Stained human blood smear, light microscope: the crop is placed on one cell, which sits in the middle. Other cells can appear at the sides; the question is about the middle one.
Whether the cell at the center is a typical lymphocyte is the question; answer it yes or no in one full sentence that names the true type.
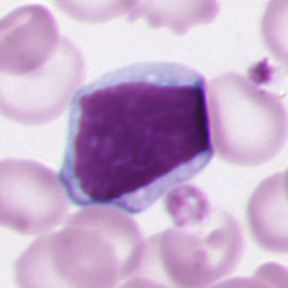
Yes, this is a typical lymphocyte, the cell in the middle of the crop.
